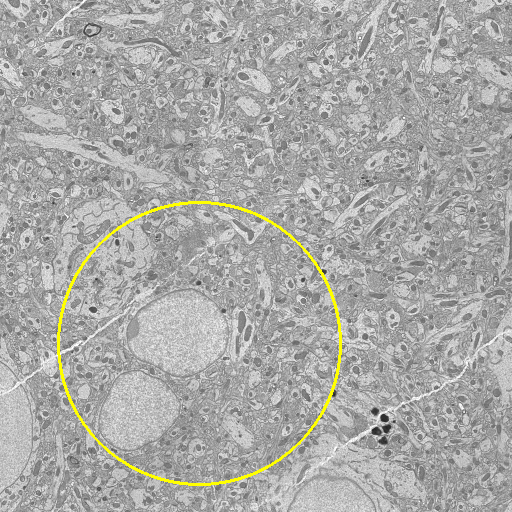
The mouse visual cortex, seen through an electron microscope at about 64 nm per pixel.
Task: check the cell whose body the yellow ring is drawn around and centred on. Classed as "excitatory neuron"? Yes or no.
No, it belongs to another class.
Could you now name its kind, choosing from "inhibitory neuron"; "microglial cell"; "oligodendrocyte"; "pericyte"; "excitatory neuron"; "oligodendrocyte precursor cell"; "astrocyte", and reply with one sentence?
Instead, the picture shows an astrocyte at the centre of the ring.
